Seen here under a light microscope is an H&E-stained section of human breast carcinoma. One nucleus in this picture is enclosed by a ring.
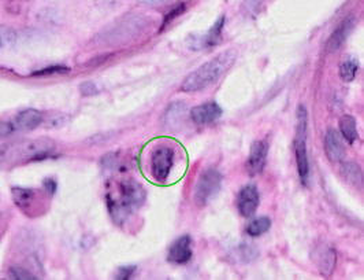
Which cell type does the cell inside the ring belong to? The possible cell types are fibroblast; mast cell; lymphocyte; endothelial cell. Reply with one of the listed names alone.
mast cell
